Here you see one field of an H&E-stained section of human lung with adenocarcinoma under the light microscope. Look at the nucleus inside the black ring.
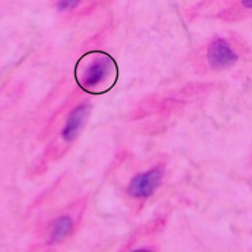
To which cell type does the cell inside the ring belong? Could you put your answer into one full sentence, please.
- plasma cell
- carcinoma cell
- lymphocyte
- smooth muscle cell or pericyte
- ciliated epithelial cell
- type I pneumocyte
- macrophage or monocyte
The cell type represented by the cell inside the ring is that of a smooth muscle cell or pericyte.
